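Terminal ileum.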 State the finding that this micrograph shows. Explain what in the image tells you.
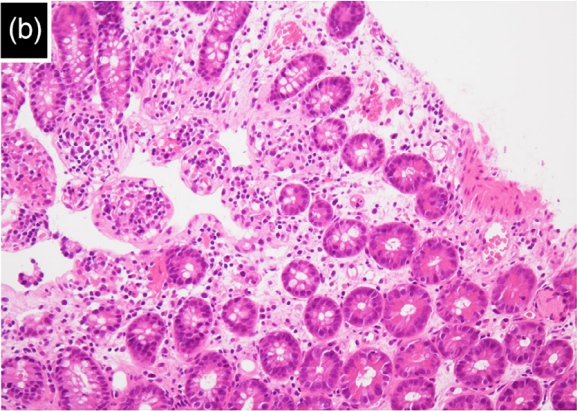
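Many small round cells with dark nuclei and scant cytoplasm lie between the crypts. These cells crowd the lamina propria, most densely on the left. That points to this answer: lymphocyte‐predominant infiltration.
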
